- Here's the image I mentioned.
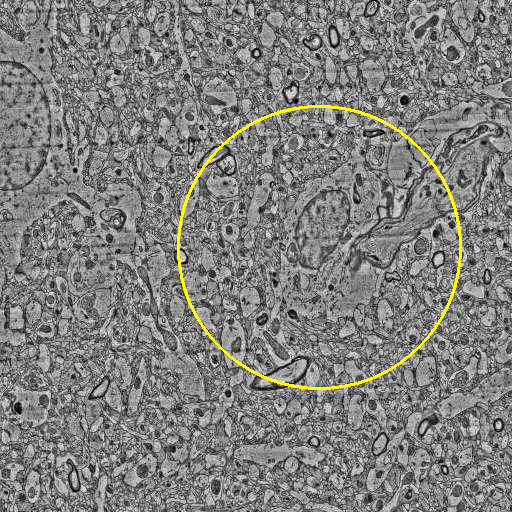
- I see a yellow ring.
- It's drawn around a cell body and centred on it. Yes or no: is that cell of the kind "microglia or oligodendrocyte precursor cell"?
yes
